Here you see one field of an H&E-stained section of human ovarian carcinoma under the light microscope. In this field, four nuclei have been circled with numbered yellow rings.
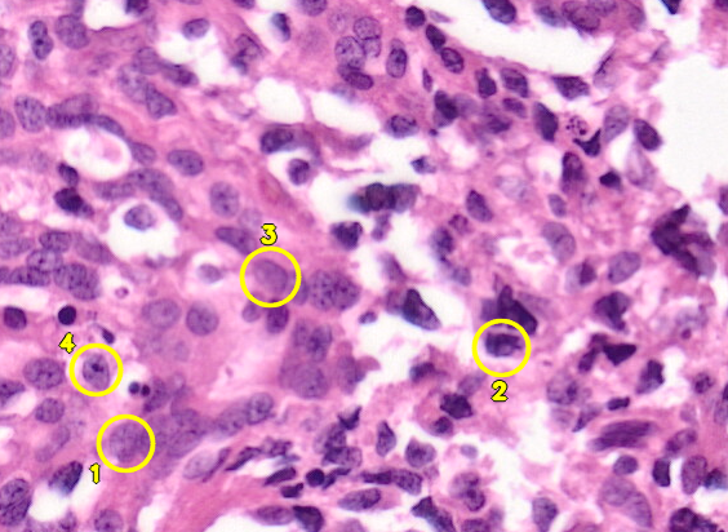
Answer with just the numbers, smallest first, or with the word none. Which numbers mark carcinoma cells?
1, 2, 3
